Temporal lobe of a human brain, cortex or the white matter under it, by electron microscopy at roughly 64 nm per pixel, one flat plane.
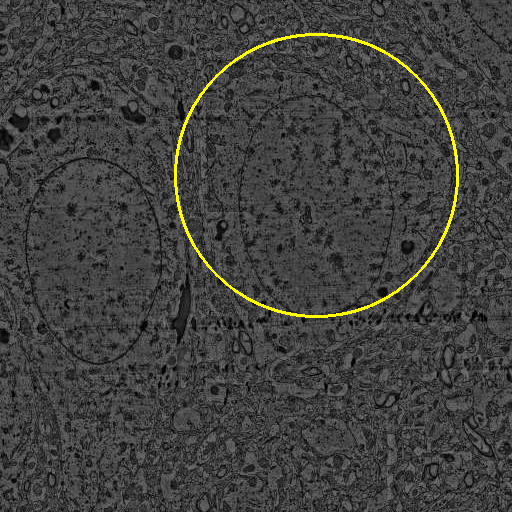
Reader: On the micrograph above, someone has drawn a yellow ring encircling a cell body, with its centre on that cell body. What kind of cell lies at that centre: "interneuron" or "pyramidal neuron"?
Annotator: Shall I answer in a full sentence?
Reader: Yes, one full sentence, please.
Here a pyramidal neuron sits at the centre of the yellow ring drawn on the micrograph.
